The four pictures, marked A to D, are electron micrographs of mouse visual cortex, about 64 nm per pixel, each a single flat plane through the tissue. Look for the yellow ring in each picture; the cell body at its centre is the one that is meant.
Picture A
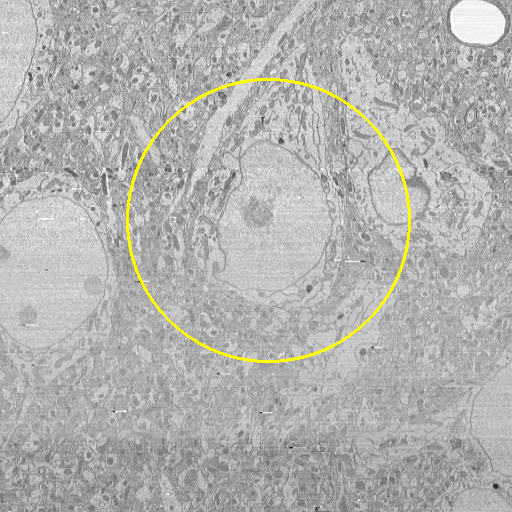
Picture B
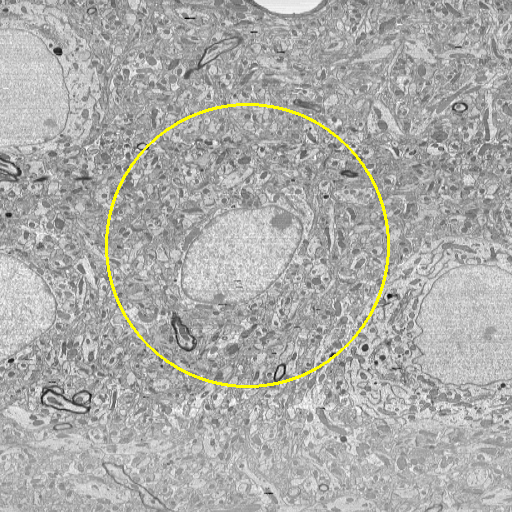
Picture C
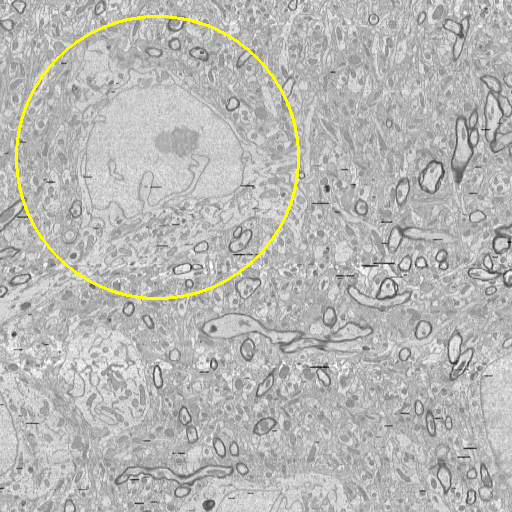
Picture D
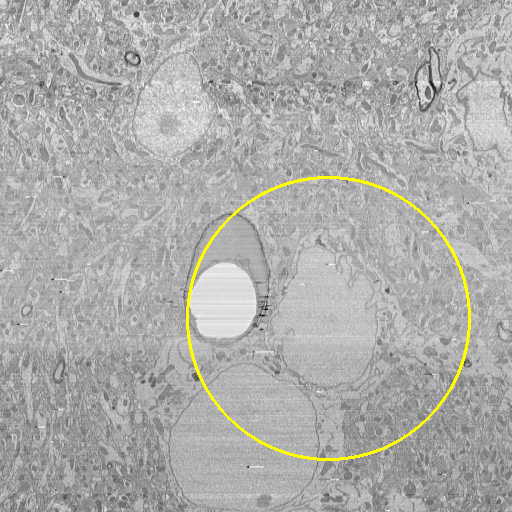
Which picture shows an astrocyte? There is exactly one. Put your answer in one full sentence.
Picture B is the one that shows the astrocyte.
